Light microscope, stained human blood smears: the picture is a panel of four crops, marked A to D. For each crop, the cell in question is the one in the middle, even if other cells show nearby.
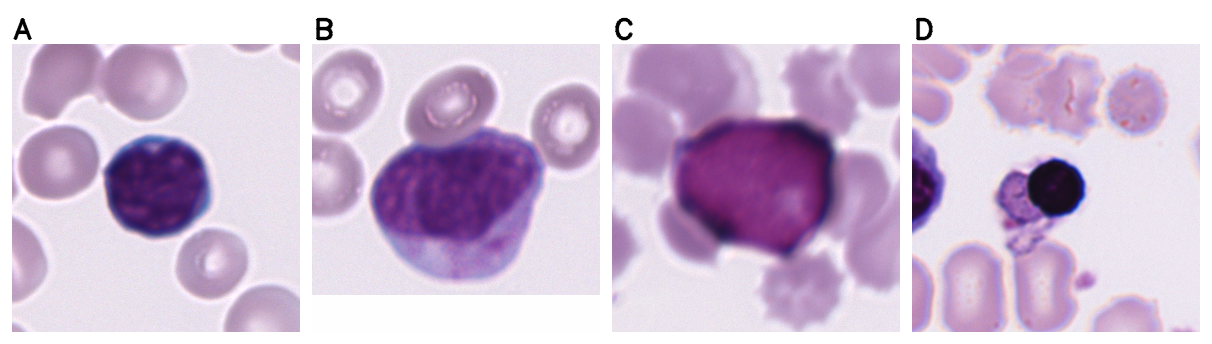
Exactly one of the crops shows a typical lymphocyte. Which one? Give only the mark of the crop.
A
